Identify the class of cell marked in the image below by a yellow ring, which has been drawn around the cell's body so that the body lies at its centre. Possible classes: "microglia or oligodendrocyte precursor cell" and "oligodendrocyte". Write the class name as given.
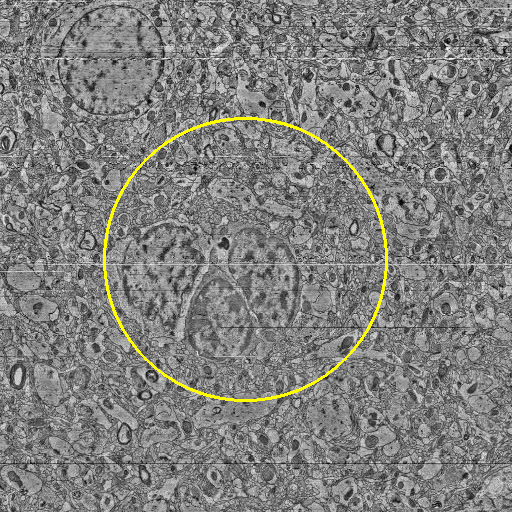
oligodendrocyte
